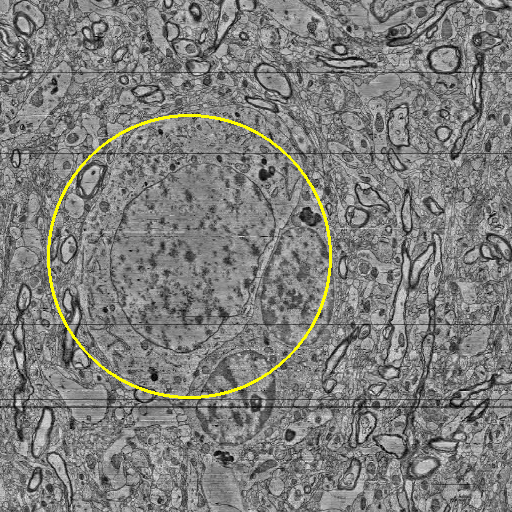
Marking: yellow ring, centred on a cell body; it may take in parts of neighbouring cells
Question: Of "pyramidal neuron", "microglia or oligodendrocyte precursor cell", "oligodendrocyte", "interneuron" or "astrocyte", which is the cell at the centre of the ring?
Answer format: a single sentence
The ring surrounds the body of a pyramidal neuron.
